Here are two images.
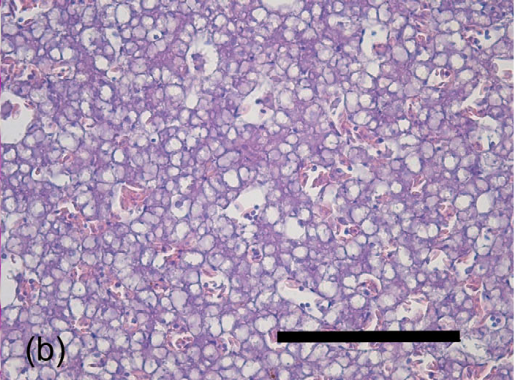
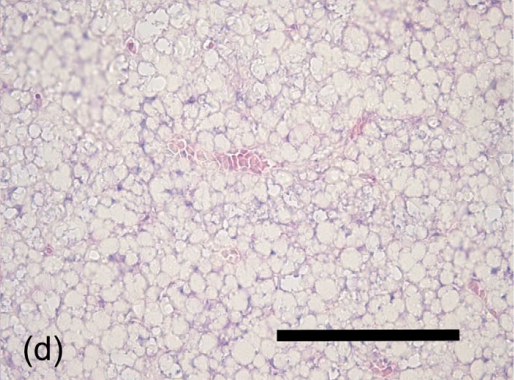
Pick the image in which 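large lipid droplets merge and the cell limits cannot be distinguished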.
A: the second image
